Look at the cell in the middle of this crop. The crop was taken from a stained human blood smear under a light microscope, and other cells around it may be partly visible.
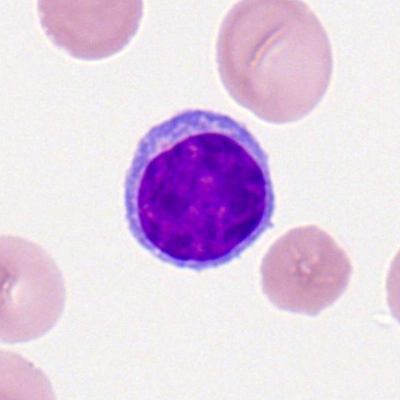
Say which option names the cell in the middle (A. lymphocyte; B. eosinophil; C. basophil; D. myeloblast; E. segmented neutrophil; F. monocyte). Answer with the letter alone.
A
